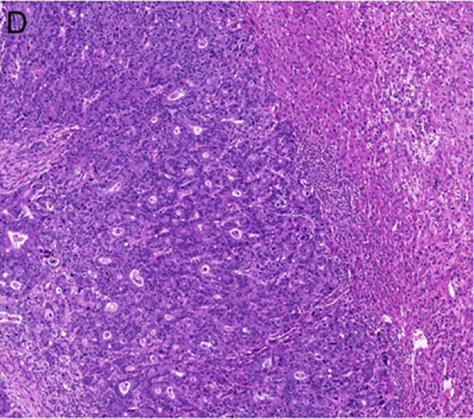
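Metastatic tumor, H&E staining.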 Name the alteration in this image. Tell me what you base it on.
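A dense purple tumor with many small gland lumina fills the left part. Pink cords of polygonal liver cells lie on the right, bordering the tumor.
Hence: intrahepatic adenocarcinoma.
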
